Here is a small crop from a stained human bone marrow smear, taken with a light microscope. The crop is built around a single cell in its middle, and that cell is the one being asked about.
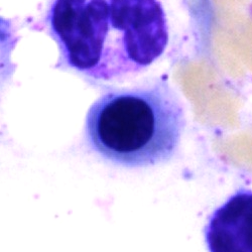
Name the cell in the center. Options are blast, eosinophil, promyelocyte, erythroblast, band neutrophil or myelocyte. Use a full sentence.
The cell featured at the centre of this crop is an erythroblast.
